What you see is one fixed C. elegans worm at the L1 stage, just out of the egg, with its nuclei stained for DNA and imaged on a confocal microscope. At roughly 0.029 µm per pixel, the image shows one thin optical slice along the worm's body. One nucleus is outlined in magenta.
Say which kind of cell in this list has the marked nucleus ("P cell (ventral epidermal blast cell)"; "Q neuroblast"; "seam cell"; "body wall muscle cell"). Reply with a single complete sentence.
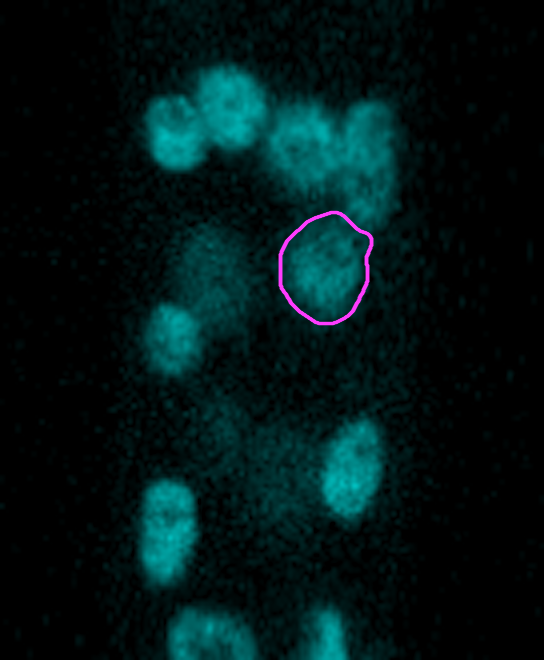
The cell with the marked nucleus is a P cell (ventral epidermal blast cell).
